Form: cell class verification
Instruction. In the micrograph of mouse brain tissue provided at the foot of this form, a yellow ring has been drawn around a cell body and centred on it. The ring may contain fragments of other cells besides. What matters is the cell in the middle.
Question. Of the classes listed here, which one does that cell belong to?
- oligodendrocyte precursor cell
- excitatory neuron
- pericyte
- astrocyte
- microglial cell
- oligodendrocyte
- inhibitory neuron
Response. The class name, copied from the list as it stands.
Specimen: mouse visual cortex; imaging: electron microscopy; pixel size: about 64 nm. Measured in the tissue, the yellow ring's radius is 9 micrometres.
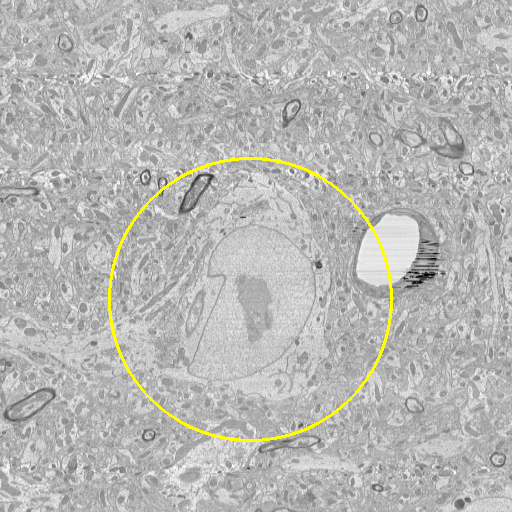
excitatory neuron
